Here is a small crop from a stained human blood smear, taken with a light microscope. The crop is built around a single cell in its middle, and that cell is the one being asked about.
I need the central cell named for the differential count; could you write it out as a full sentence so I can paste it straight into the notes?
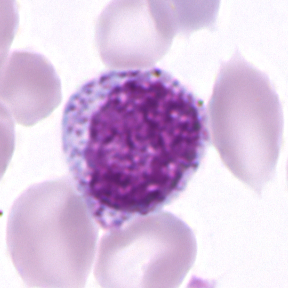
Regarding the central cell, it is a myelocyte.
